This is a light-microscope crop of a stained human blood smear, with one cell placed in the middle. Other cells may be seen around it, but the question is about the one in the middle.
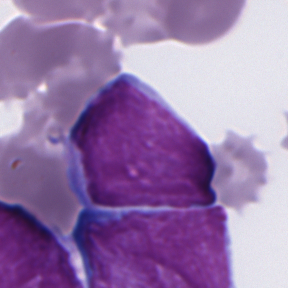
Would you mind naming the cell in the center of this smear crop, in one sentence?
For this crop, the cell in the middle is a blast.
